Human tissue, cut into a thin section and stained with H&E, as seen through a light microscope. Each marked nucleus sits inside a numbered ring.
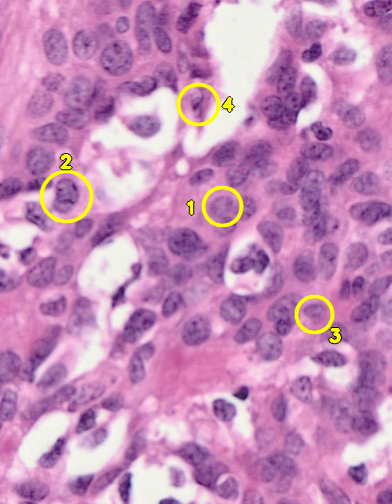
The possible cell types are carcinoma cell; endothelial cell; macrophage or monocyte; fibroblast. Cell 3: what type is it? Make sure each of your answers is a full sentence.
Here, the cell given the number 3 is a carcinoma cell.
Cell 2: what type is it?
Number 2 among the marked cells is a macrophage or monocyte.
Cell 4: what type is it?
The numbered cell 4 in this field is a macrophage or monocyte.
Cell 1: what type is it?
Cell 1 in the field is a carcinoma cell.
